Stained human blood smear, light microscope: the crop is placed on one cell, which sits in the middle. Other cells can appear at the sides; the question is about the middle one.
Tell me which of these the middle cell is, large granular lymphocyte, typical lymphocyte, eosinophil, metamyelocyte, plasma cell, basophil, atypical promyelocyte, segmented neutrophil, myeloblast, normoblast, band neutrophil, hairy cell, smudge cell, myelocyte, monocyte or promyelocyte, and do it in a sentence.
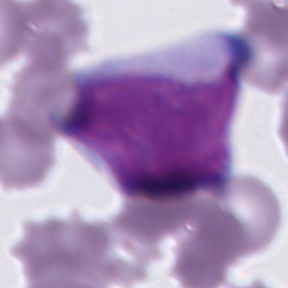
Positioned in the middle of the crop is a myeloblast.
